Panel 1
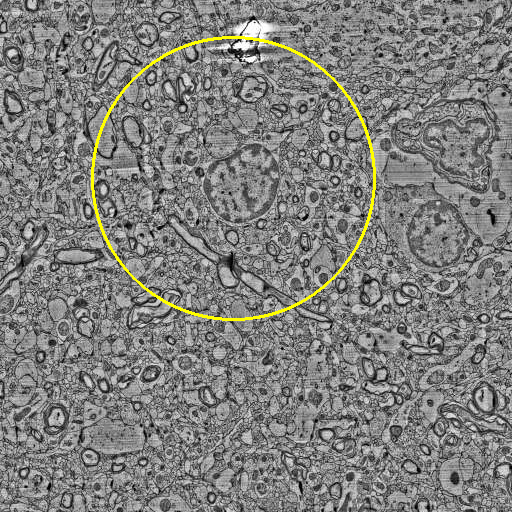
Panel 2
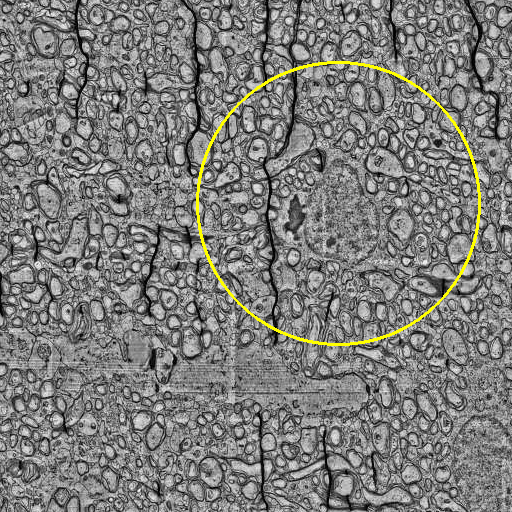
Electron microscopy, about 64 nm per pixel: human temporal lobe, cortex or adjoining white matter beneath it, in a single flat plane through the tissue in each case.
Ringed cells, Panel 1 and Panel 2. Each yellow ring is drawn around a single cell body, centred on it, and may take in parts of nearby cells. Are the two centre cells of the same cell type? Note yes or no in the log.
no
